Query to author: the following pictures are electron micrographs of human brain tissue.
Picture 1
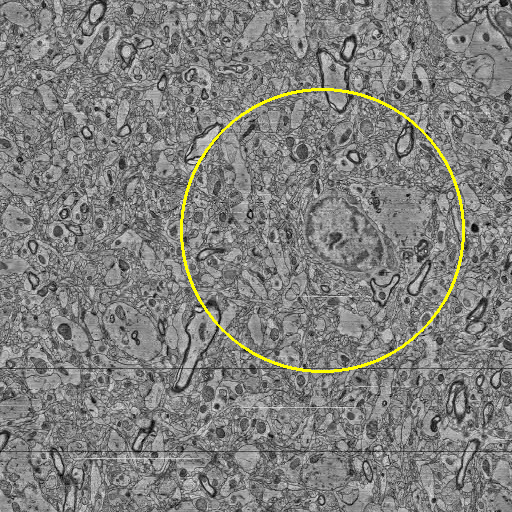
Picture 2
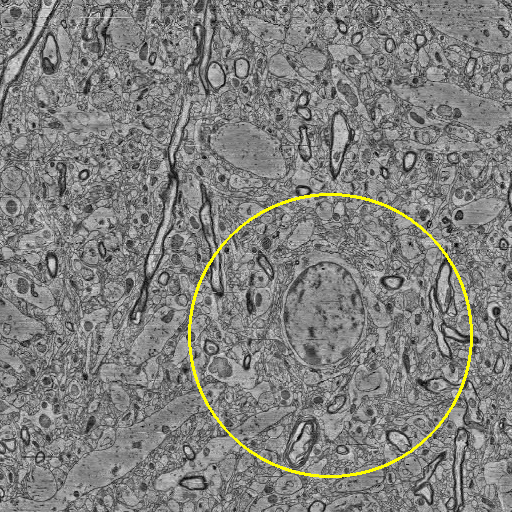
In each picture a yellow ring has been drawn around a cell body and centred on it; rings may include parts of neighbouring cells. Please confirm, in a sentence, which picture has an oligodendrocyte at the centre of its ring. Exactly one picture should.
Picture 1 has it at the centre of its ring.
